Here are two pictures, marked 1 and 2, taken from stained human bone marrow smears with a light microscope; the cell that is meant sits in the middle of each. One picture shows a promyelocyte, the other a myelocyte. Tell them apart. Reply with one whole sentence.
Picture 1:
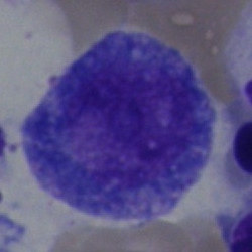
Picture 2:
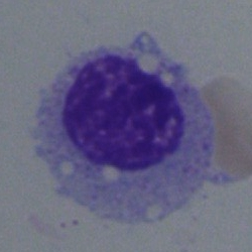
The cell in picture 1 is a promyelocyte, and the one in picture 2 is a myelocyte.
